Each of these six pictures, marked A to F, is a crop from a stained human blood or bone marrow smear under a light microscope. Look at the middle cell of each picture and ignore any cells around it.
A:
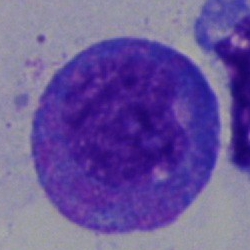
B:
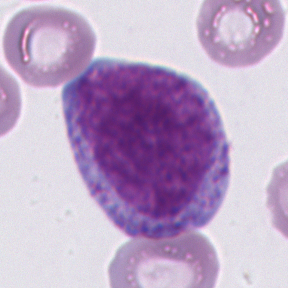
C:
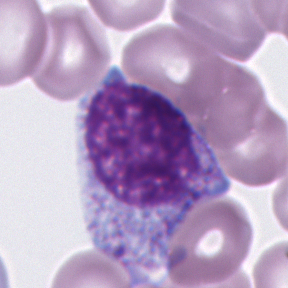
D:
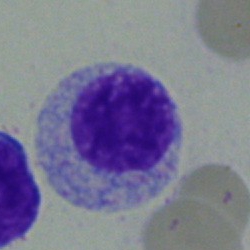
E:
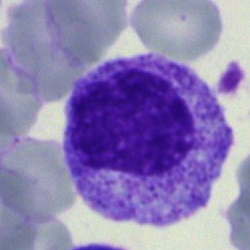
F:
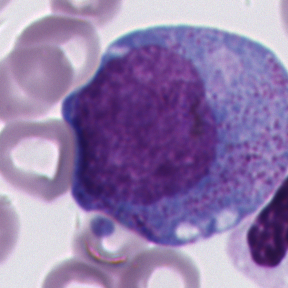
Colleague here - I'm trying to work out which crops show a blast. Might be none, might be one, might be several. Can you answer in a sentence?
Not even one of these crops contains a blast.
